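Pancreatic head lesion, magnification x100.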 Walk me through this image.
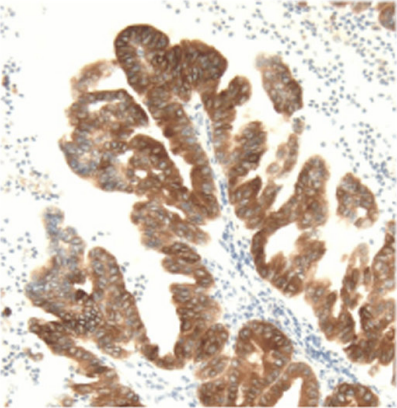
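Here papillary fronds of tumor epithelium branch into an open lumen. The lining cells are columnar, packed side by side, with oval blue nuclei and cytoplasm stained a deep brown almost throughout. Thin pale cores of stroma with small blue nuclei run up the middle of the fronds. Loose small cells float in the lumen beside the fronds.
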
